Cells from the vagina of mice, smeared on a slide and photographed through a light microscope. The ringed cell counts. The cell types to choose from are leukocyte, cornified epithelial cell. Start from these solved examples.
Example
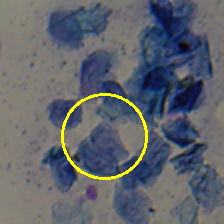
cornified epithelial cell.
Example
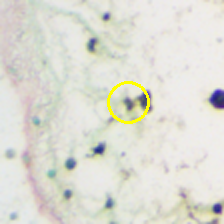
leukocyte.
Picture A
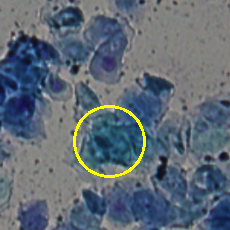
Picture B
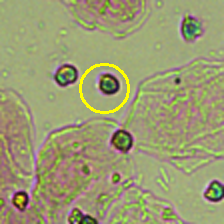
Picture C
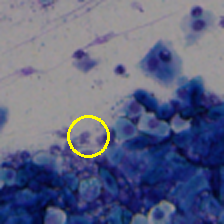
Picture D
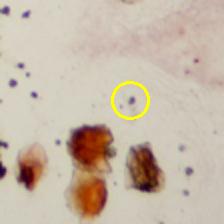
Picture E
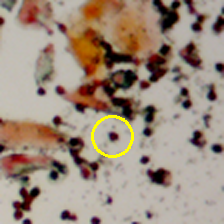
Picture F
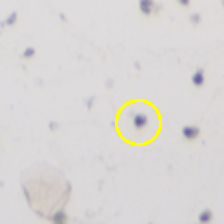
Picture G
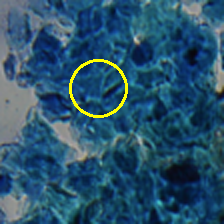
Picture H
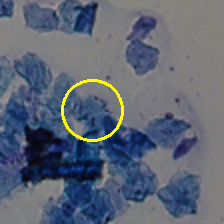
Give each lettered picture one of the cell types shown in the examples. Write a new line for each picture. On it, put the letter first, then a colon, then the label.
A: cornified epithelial cell.
B: leukocyte.
C: leukocyte.
D: leukocyte.
E: leukocyte.
F: leukocyte.
G: cornified epithelial cell.
H: cornified epithelial cell.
